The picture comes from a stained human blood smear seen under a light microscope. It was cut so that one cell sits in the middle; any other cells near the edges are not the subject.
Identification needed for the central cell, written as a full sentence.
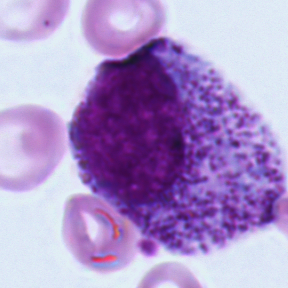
The crop shows a myelocyte in its centre.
